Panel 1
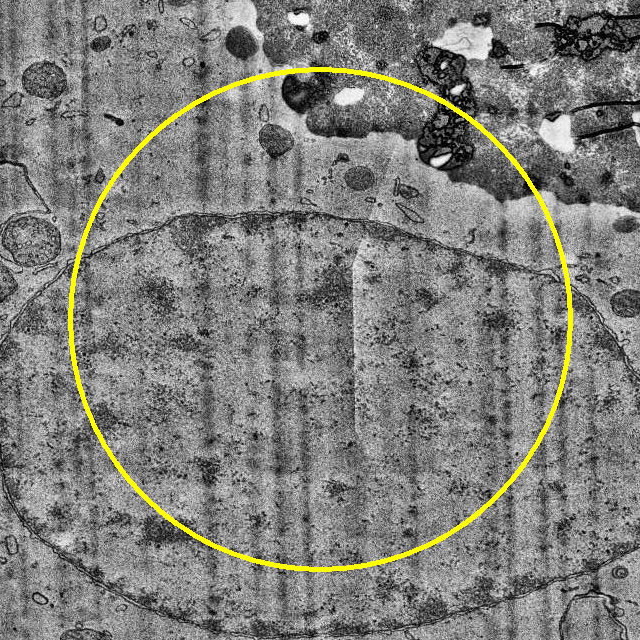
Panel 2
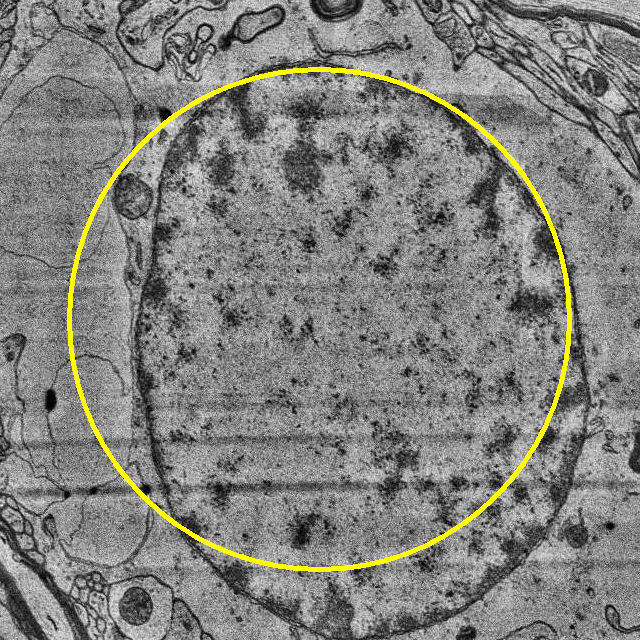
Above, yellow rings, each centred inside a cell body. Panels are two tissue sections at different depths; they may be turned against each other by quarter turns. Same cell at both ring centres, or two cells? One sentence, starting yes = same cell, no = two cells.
No, the two marked cells are different cells.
